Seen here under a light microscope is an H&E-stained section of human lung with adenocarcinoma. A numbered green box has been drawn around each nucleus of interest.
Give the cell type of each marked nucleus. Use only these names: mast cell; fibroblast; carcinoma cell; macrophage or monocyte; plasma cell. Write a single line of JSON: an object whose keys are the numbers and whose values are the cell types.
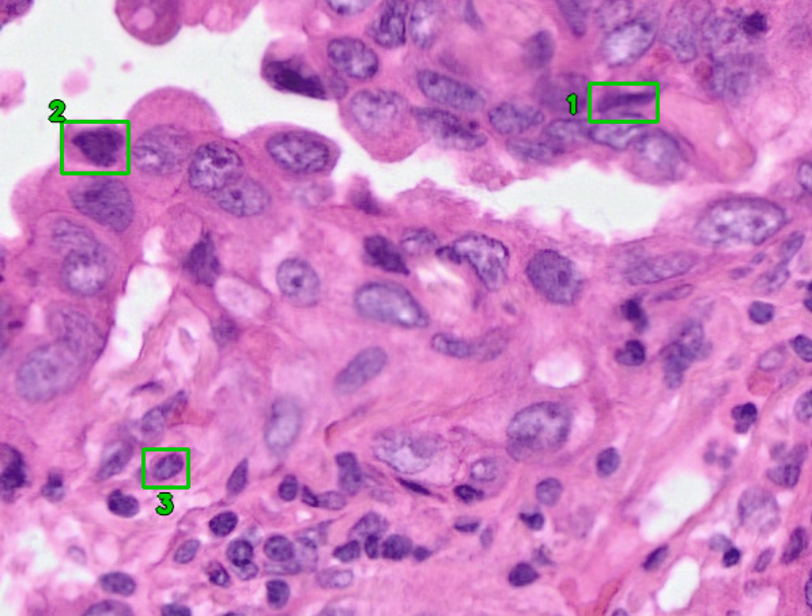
{"1": "carcinoma cell", "2": "carcinoma cell", "3": "mast cell"}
